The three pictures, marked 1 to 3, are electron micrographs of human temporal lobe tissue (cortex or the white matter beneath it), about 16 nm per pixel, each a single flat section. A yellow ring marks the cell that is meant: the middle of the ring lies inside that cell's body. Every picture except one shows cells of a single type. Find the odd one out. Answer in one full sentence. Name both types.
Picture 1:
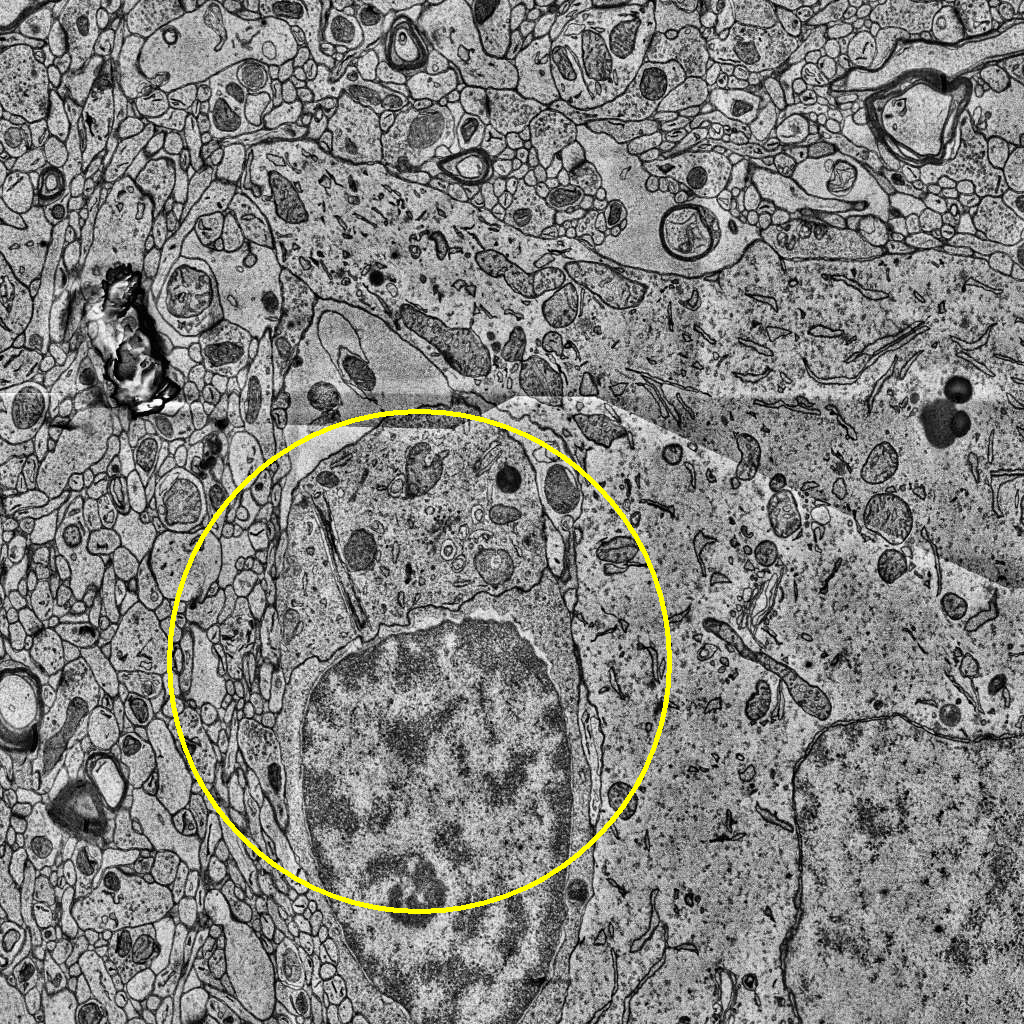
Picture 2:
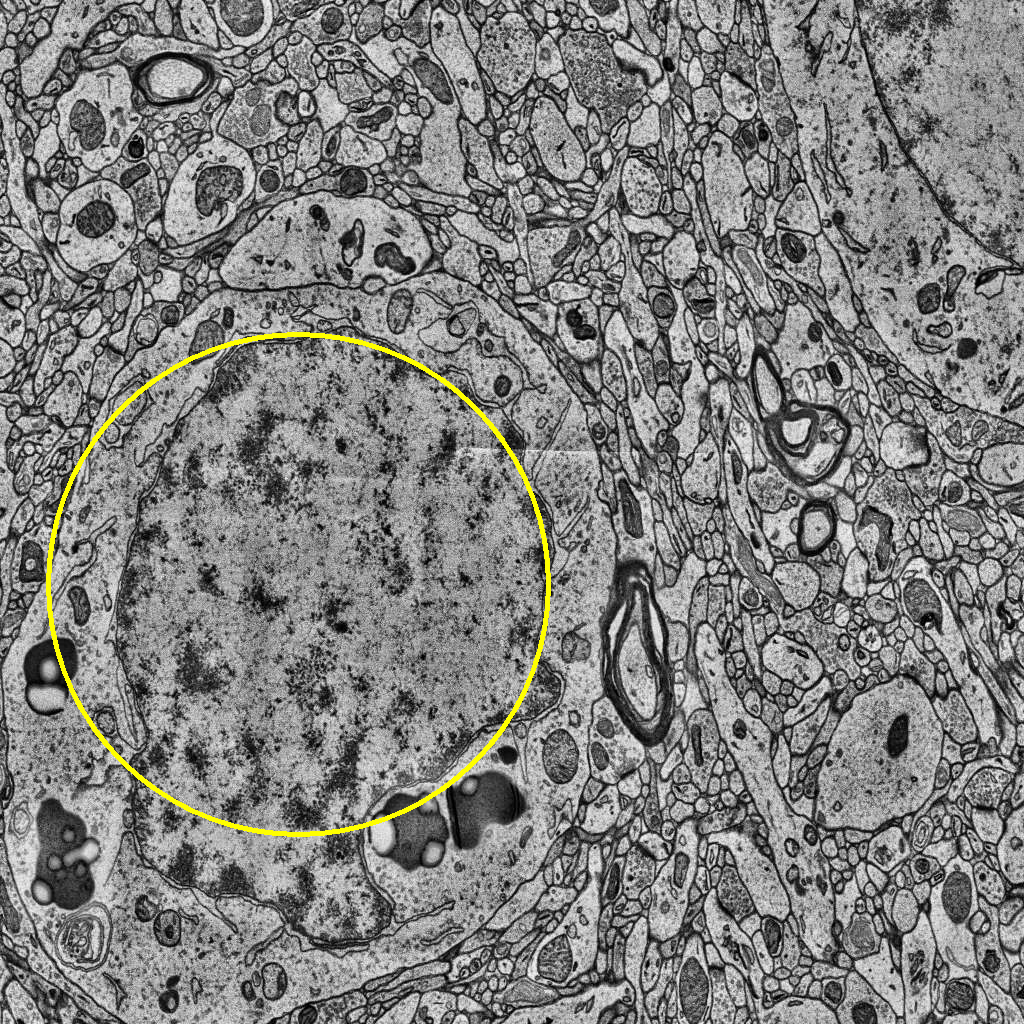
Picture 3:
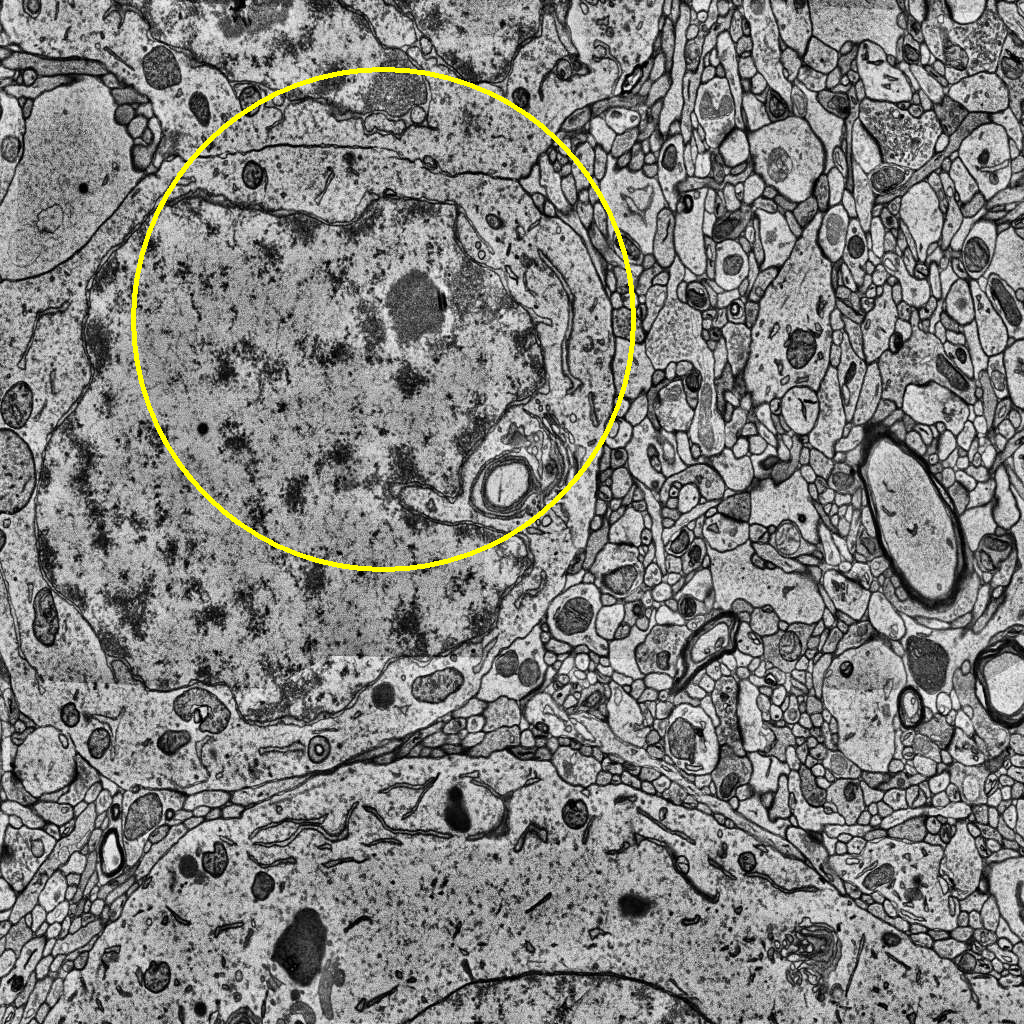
The different one is picture 1; it shows an oligodendrocyte, whereas all the others show interneurons.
